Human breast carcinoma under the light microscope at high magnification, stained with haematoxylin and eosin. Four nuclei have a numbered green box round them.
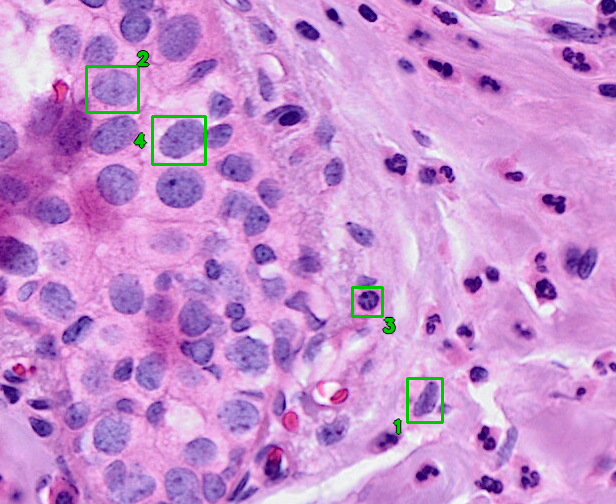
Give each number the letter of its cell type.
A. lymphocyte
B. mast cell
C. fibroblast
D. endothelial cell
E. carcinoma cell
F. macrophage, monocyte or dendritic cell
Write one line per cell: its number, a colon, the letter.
1: C
2: E
3: B
4: E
